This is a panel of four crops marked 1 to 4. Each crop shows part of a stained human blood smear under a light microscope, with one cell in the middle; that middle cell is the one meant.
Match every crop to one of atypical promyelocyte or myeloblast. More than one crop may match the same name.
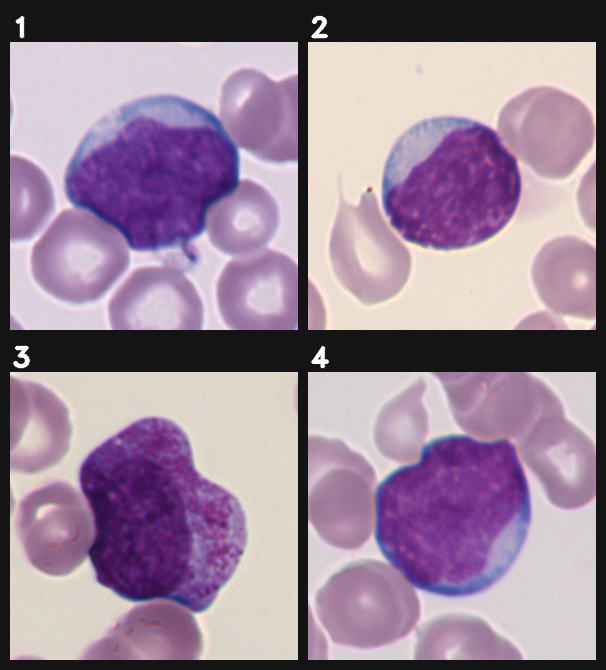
1: myeloblast
2: myeloblast
3: atypical promyelocyte
4: myeloblast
